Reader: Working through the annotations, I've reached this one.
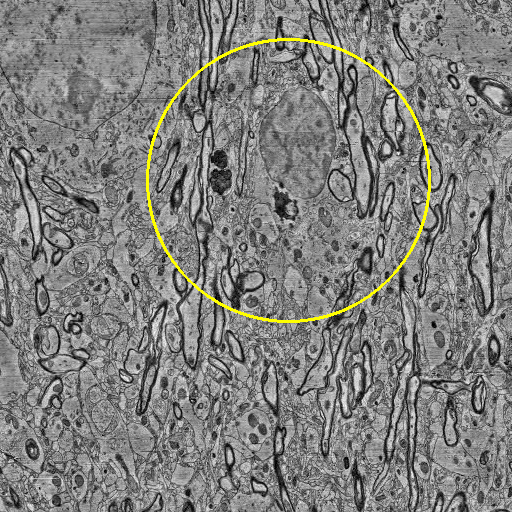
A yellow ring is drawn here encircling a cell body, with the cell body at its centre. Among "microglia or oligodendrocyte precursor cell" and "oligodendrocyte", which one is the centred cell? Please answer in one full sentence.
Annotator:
The cell body at the centre of the yellow ring in this image belongs to an oligodendrocyte.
